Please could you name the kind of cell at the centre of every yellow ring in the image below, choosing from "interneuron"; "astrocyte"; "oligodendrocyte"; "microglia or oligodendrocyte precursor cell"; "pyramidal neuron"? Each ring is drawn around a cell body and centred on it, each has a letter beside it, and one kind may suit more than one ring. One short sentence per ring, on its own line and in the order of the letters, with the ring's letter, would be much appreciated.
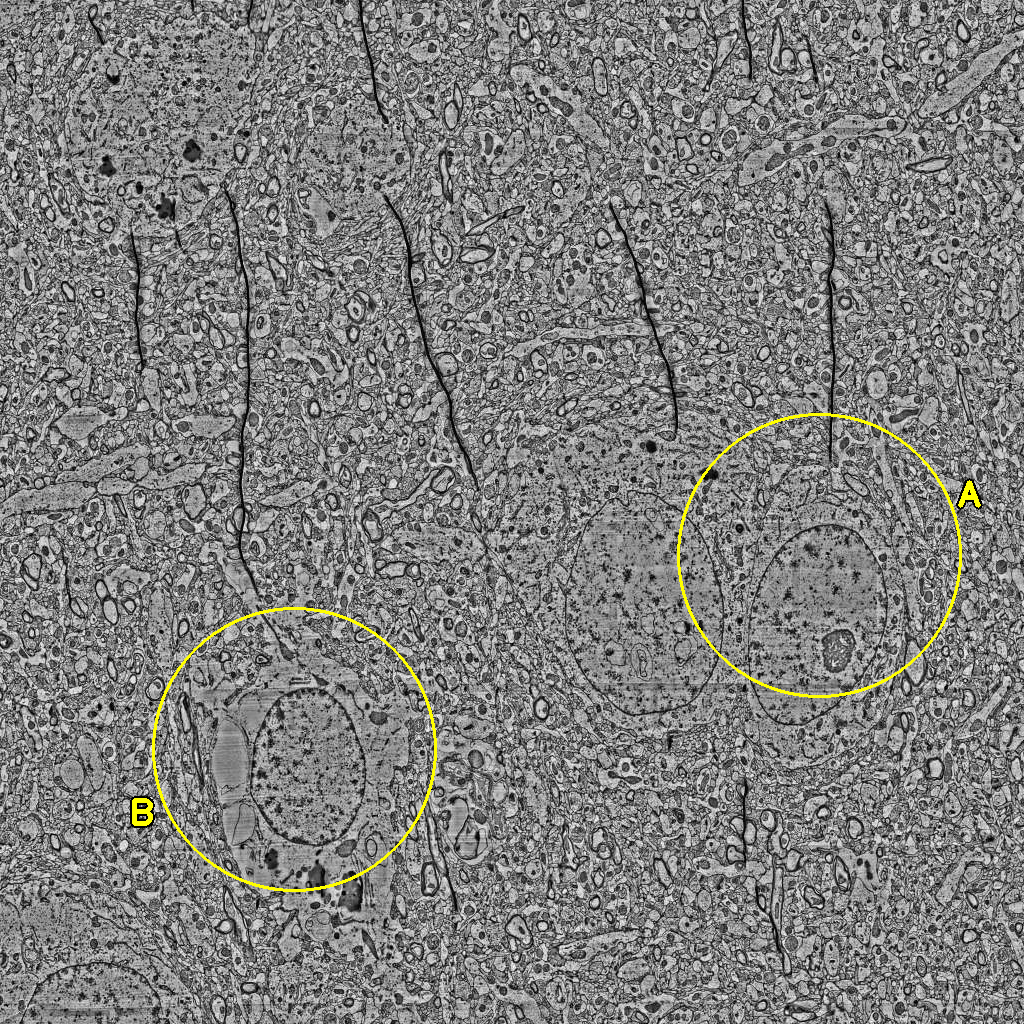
The cell in the middle of ring A is a pyramidal neuron.
The cell in the middle of ring B is an astrocyte.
